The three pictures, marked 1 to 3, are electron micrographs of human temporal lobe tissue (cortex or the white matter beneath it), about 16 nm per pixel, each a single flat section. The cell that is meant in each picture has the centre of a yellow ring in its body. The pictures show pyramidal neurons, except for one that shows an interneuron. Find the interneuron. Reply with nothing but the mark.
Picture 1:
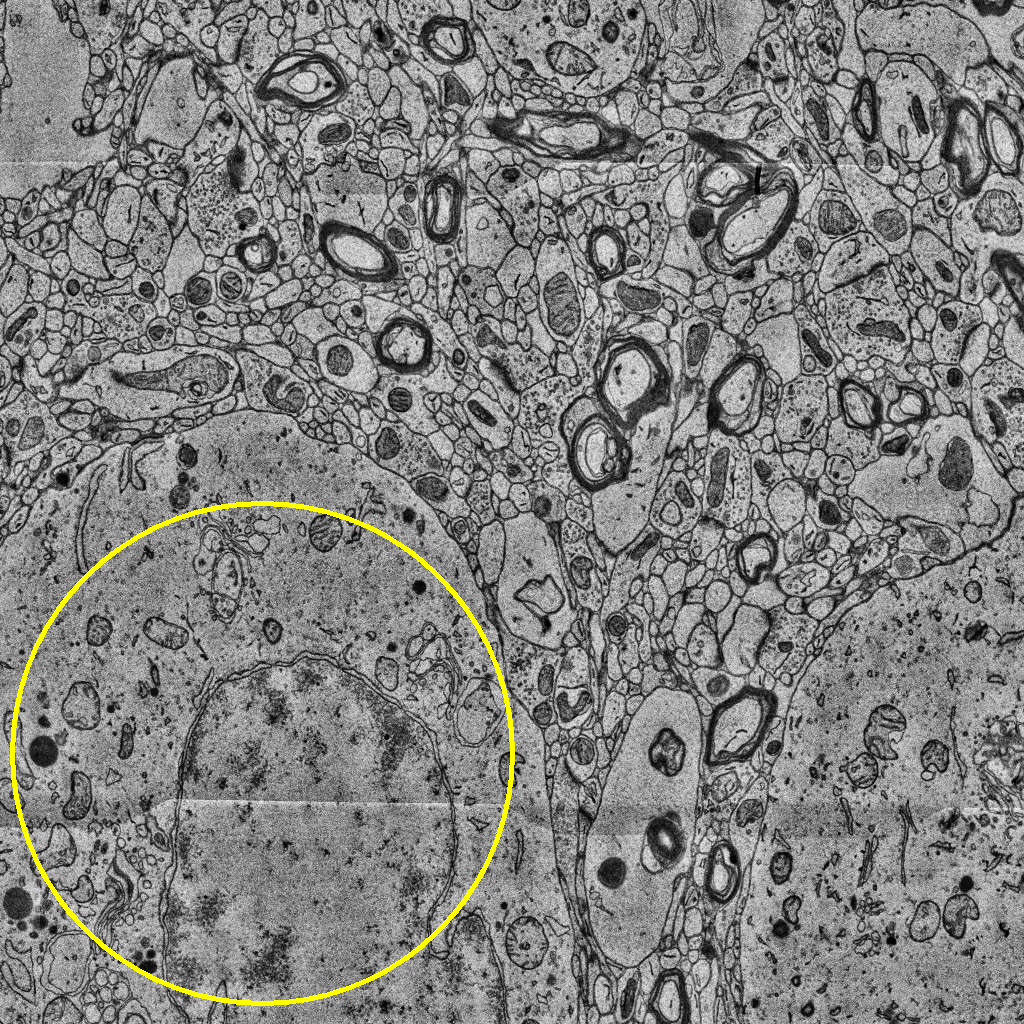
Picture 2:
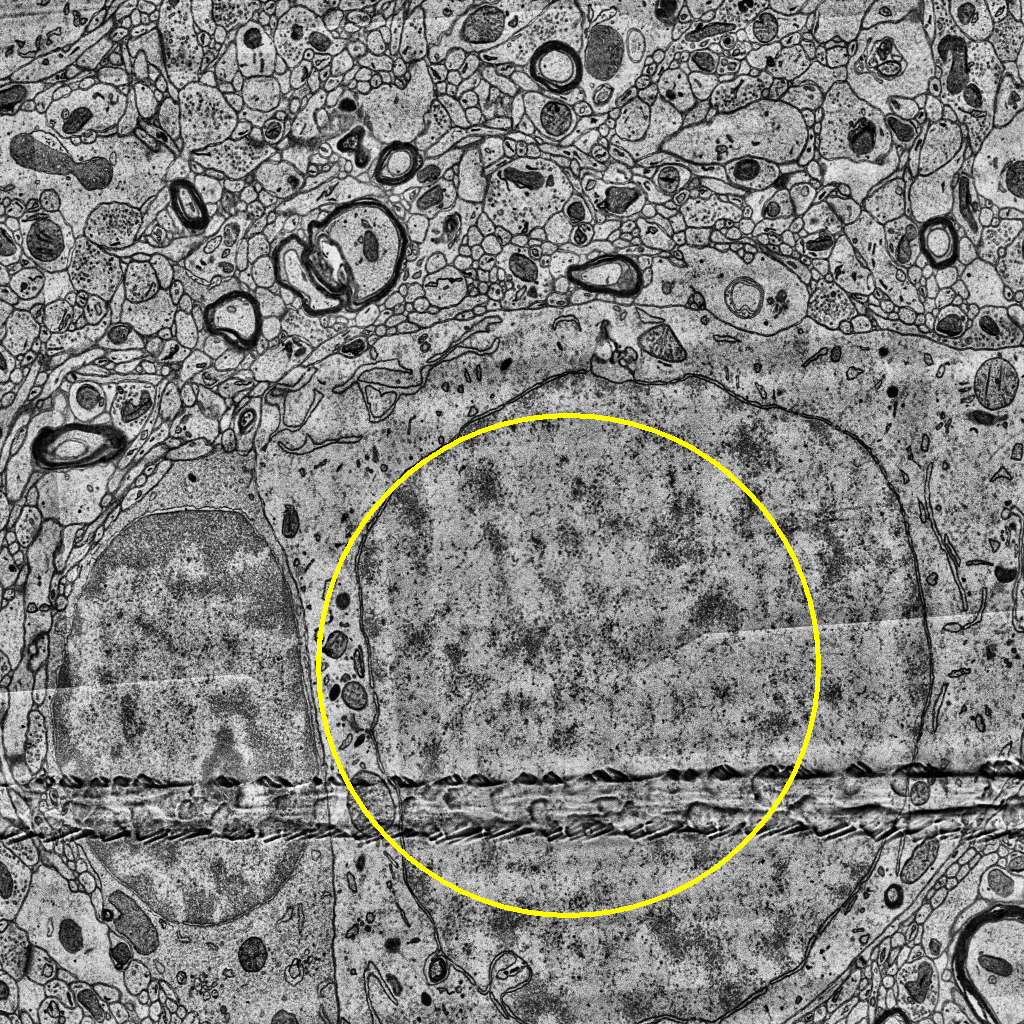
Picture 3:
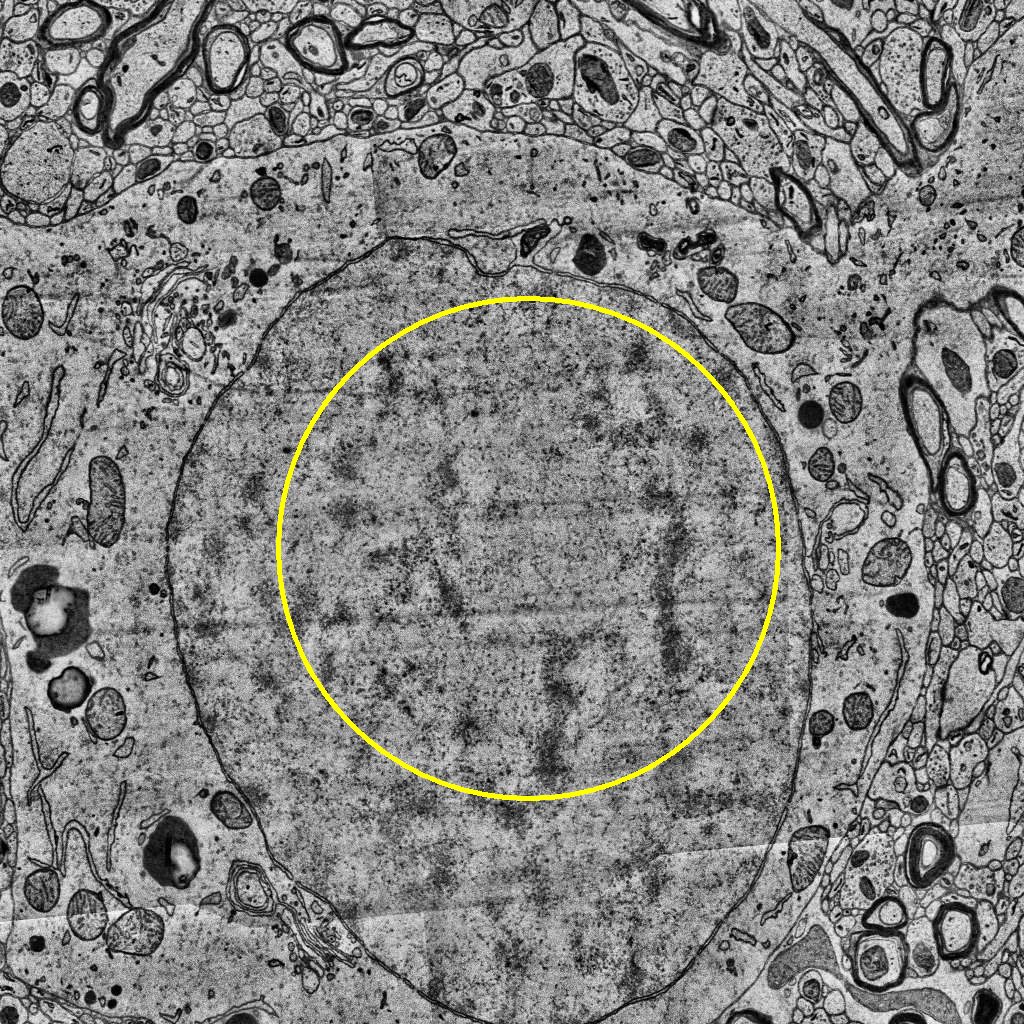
1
